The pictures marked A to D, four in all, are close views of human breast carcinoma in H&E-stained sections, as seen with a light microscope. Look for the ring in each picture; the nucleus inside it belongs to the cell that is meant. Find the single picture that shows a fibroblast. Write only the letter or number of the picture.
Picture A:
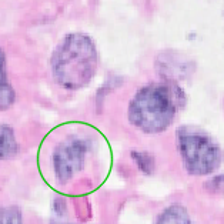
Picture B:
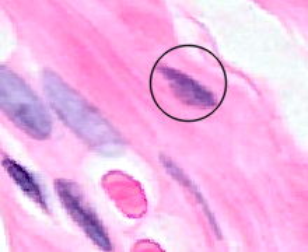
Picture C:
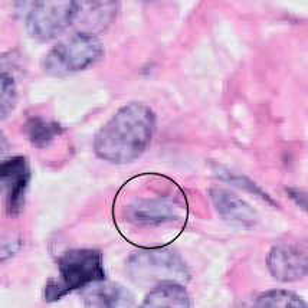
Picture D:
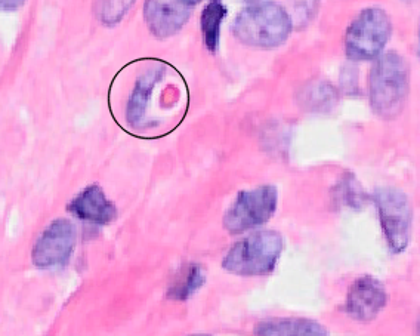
B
